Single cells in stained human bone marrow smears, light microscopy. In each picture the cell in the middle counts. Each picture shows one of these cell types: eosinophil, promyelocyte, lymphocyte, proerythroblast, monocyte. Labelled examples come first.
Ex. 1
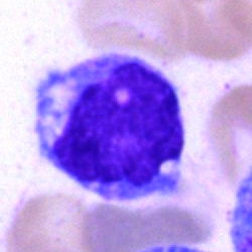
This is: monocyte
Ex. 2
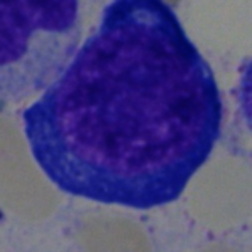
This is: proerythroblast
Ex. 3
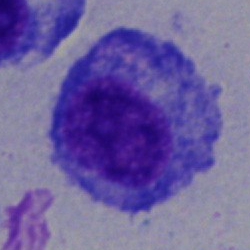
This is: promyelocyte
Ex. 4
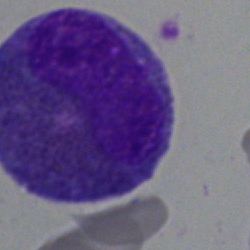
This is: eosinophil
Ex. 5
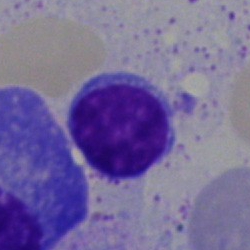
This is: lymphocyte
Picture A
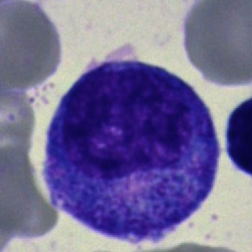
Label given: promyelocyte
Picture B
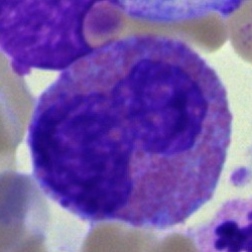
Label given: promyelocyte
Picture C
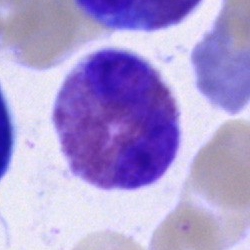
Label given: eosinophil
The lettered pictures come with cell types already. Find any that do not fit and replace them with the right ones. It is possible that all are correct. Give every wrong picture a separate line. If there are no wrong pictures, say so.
B: change promyelocyte to eosinophil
